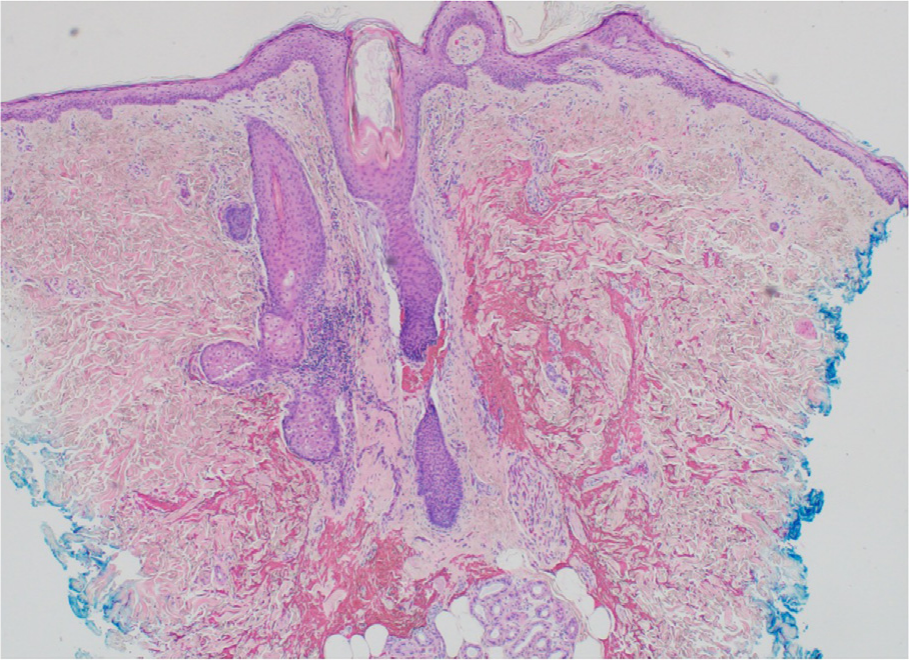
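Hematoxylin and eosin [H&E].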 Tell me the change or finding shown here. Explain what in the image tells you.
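A cluster of small, dark, round nuclei lies in the dermis right beside the left follicle.
Hence: perifollicular lymphocytic inflammation.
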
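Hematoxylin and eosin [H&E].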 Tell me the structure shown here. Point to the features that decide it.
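One opens at the surface as a dilated funnel filled with pink layered keratin.
Hence: hair follicles.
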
